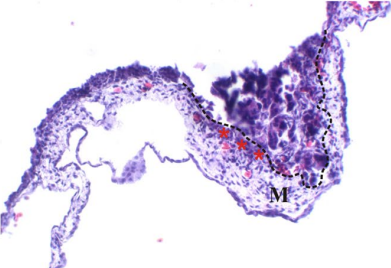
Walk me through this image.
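This hematoxylin and eosin section of the membrane shows a large, compact mass of tumor cells bulging from its surface layer. The tumor cells are tightly crowded, with dark purple nuclei and little cytoplasm between them. A dashed line traces where this mass pushes down into the looser, paler middle layer of the membrane, which holds scattered cells and a few small red-stained spots.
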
